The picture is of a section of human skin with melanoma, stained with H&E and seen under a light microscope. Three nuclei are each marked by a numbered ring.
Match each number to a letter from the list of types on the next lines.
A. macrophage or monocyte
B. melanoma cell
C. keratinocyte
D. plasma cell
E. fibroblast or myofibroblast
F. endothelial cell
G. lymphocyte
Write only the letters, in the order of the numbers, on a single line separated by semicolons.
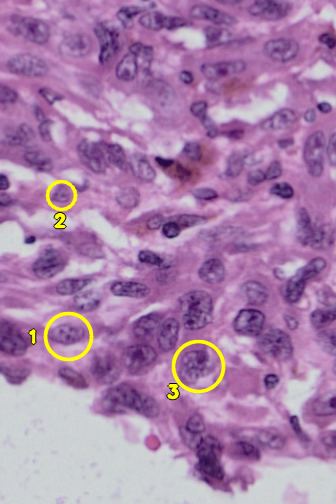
B; A; B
